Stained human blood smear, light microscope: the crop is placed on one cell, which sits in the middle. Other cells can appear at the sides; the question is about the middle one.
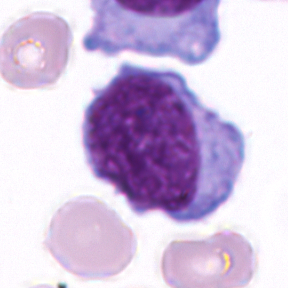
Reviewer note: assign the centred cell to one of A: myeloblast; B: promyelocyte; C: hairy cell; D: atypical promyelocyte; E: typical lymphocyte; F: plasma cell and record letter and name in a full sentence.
The central cell is a plasma cell, which makes option F the right answer.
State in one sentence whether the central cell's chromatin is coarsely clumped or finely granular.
In this cell the chromatin is fine rather than coarsely clumped.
